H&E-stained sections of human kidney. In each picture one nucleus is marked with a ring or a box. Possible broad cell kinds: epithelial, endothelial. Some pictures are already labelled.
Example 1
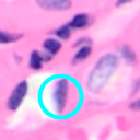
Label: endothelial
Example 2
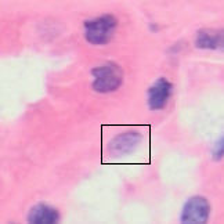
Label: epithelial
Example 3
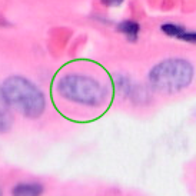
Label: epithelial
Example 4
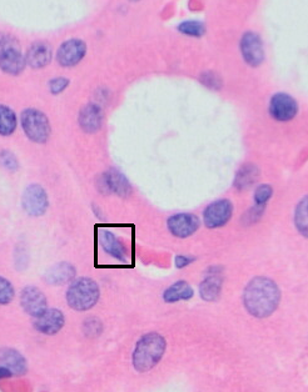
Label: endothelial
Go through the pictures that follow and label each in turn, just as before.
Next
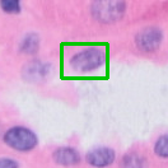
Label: epithelial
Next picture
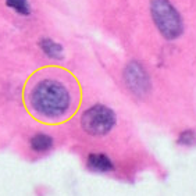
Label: epithelial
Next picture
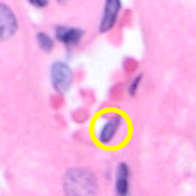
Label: endothelial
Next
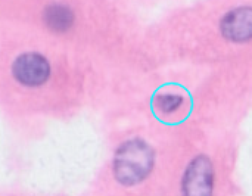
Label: endothelial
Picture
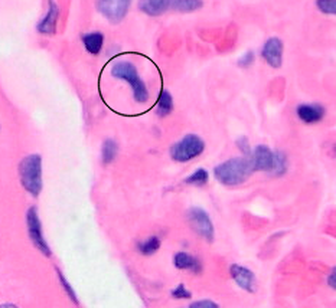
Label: endothelial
